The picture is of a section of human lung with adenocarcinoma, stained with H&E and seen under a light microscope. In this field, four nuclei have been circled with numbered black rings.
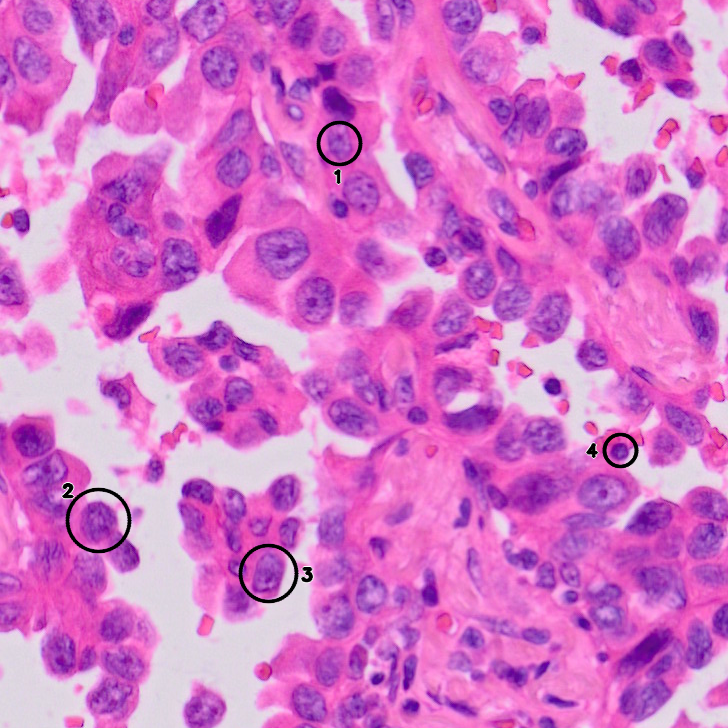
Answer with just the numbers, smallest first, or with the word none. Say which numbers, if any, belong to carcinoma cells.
1, 2, 3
